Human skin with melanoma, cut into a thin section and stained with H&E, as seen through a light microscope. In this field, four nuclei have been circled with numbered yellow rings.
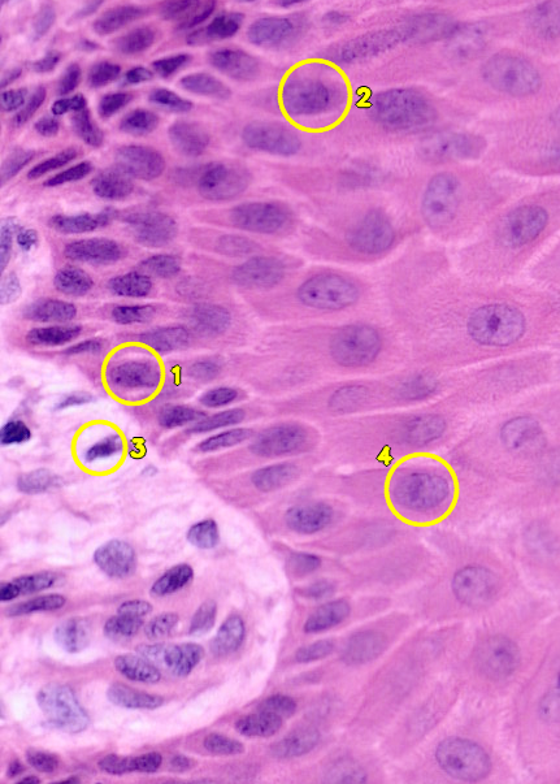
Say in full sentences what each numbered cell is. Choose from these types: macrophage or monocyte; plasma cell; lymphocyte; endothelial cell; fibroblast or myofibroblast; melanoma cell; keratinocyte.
Cell 1 is a keratinocyte, cell 2 is a keratinocyte, cell 3 is a fibroblast or myofibroblast and cell 4 is a keratinocyte.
